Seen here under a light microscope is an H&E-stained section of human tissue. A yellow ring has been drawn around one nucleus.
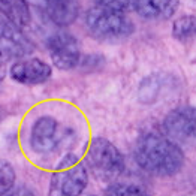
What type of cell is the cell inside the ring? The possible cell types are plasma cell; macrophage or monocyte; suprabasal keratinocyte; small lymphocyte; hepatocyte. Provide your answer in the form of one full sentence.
Within the stained tissue, the cell inside the ring is a macrophage or monocyte.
